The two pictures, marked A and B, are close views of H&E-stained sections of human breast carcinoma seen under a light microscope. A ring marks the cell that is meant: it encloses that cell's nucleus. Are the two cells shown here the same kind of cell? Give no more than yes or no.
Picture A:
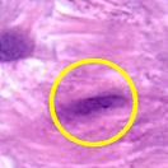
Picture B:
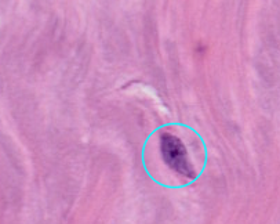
yes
